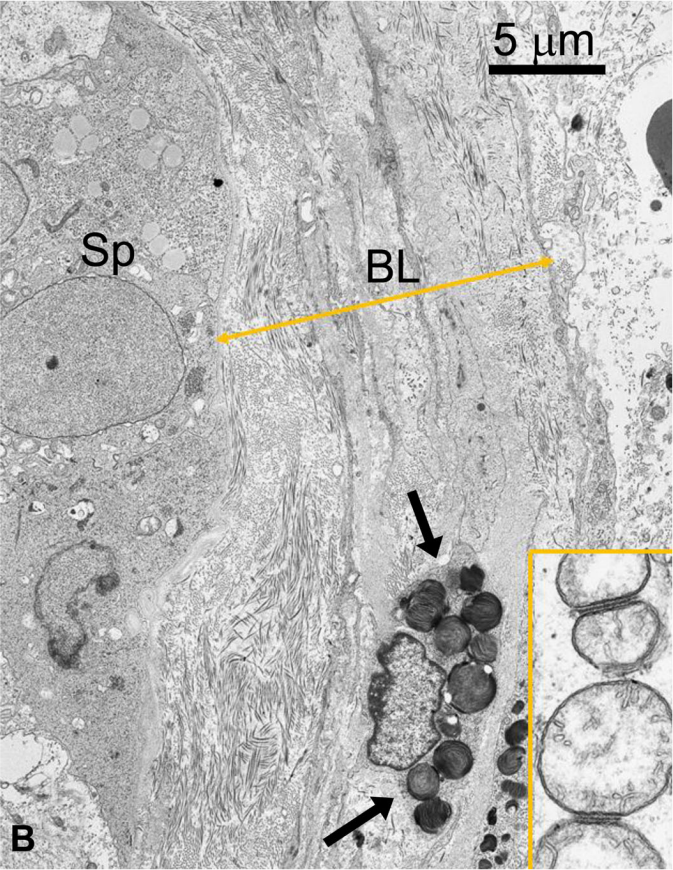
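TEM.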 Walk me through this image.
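This electron micrograph shows the border between the basal epithelium of a seminiferous tubule and the thickened layer around it. On one side a large cell with a round nucleus sits against the layer. The layer itself consists of several flattened cells separated by dense bundles of fibrils. Within one of these flattened cells lies a cluster of very dark, rounded deposits, and an inset shows round double-membraned mitochondria touching one another at their outer membranes.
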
